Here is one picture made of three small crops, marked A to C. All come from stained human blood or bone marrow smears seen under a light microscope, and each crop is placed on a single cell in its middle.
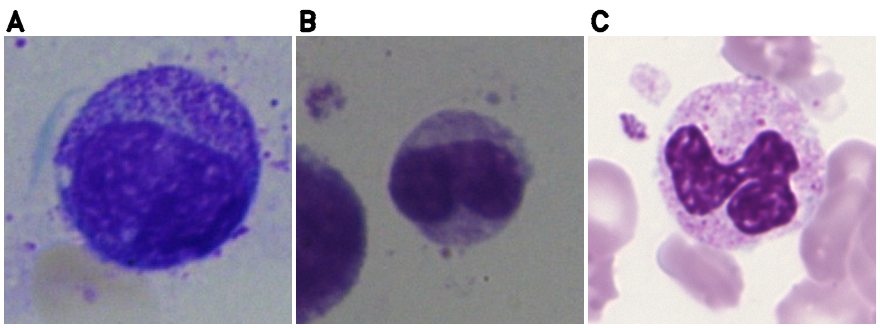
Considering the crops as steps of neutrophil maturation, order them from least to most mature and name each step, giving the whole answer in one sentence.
In order from least mature to most mature, the crops stand crop A (a myelocyte), crop B (a metamyelocyte) and crop C (a segmented neutrophil).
